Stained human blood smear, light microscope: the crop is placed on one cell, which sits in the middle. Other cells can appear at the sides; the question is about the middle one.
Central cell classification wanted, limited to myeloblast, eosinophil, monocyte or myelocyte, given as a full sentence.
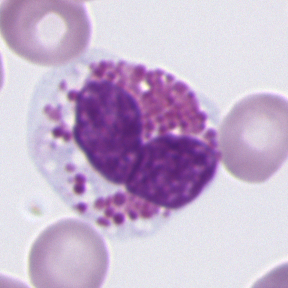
The cell of interest, in the center, is an eosinophil.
